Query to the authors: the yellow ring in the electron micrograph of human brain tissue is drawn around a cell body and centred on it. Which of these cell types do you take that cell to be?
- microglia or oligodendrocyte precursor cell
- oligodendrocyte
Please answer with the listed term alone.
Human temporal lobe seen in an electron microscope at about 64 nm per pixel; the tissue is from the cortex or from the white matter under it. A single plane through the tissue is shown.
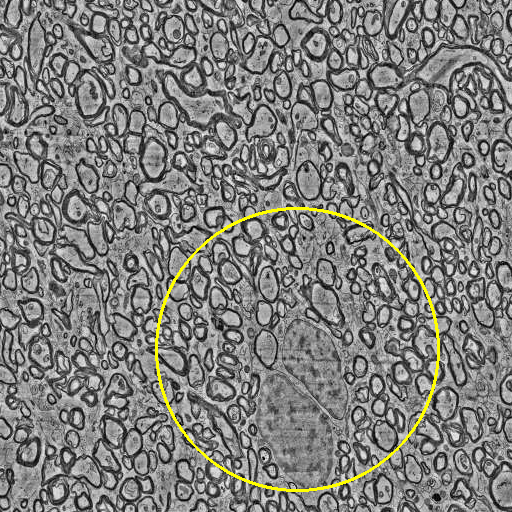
microglia or oligodendrocyte precursor cell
